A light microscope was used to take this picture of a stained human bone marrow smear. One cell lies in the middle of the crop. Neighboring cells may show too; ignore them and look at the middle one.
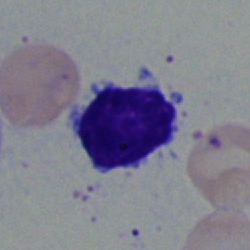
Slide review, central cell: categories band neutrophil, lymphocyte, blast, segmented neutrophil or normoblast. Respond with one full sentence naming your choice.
The cell at the heart of this crop is a lymphocyte.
